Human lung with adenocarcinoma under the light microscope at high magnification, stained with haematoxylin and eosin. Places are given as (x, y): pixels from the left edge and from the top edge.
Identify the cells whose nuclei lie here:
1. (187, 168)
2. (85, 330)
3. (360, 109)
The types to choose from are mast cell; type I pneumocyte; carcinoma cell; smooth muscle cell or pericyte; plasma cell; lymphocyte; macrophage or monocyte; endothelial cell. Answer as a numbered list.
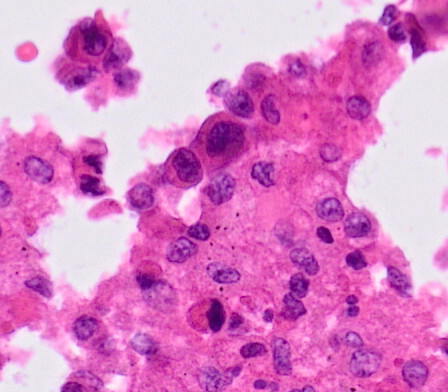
1. carcinoma cell
2. macrophage or monocyte
3. macrophage or monocyte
